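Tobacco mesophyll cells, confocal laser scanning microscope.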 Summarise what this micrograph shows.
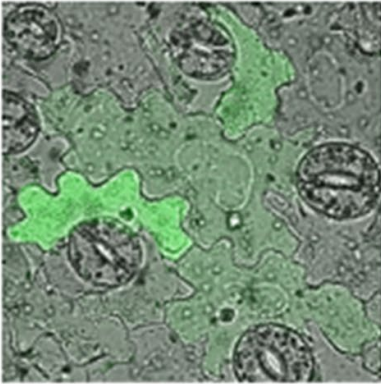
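The cells have lobed, wavy outlines that fit into each other. Several pairs of bean-shaped guard cells forming stomata lie among them. In the fluorescent cells the green fills the whole lobed cell shape evenly, dispersed rather than gathered into rims or spots. Some cells are bright green, others only faintly green.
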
